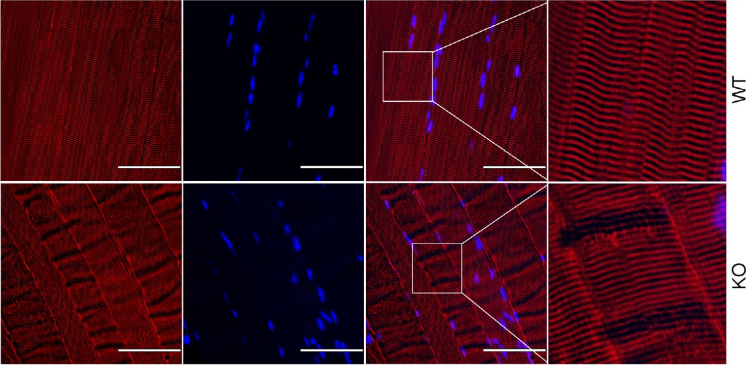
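Longitudinally cut skeletal muscle fibres showing fine, regular red cross-striations, with elongated blue nuclei lying flat along the fibre edges. In the lower row the striation pattern is irregular and wavy, with dark clefts and gaps running across the fibres, which the enlarged boxed area shows clearly.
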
